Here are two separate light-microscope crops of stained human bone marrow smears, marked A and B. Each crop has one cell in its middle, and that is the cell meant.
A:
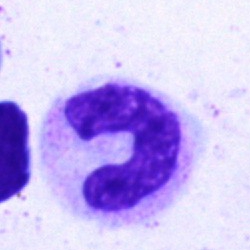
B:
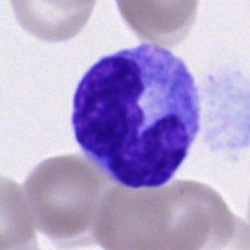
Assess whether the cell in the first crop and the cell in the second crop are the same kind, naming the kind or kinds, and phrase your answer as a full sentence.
No, it is crop A that shows a band neutrophil, and crop B shows a monocyte.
